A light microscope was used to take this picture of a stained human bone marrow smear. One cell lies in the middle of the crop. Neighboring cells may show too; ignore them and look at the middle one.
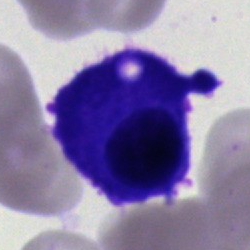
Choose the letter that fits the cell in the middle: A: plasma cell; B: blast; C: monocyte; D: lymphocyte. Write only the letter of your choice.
A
